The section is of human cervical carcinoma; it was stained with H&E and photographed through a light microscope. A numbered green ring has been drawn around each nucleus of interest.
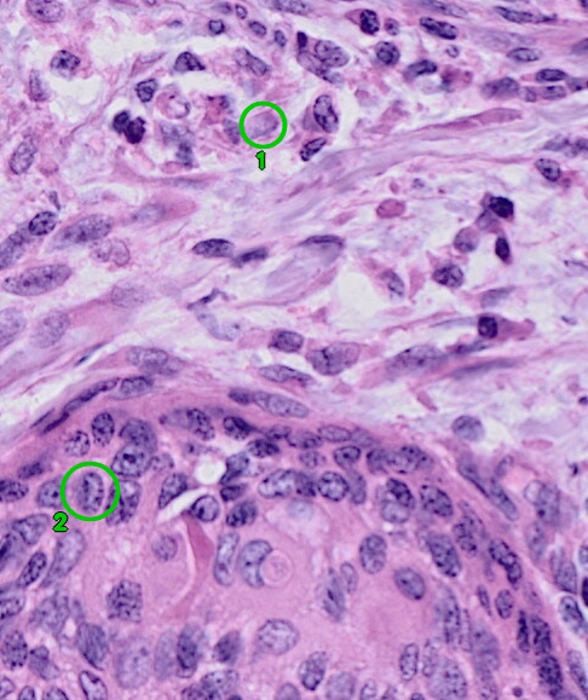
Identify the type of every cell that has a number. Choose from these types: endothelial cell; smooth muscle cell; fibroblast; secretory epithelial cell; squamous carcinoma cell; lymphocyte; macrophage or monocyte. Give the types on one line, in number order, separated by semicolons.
fibroblast; squamous carcinoma cell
